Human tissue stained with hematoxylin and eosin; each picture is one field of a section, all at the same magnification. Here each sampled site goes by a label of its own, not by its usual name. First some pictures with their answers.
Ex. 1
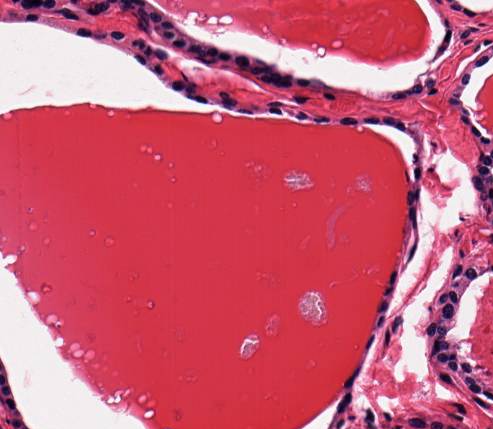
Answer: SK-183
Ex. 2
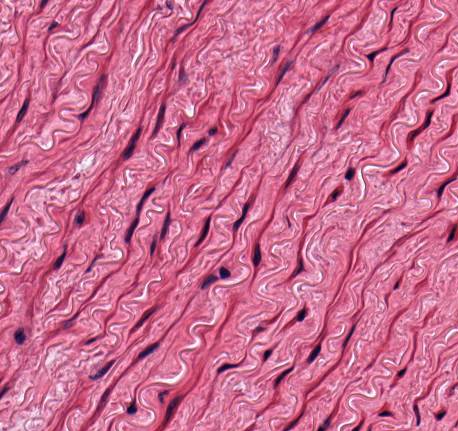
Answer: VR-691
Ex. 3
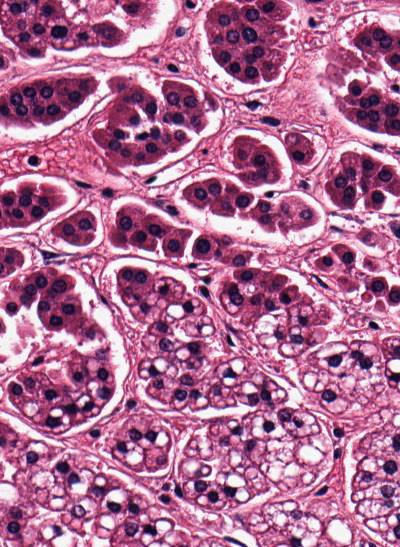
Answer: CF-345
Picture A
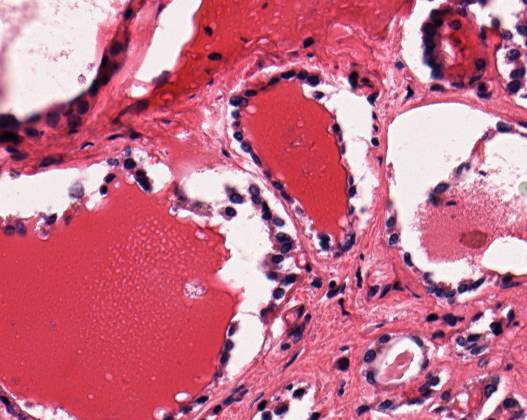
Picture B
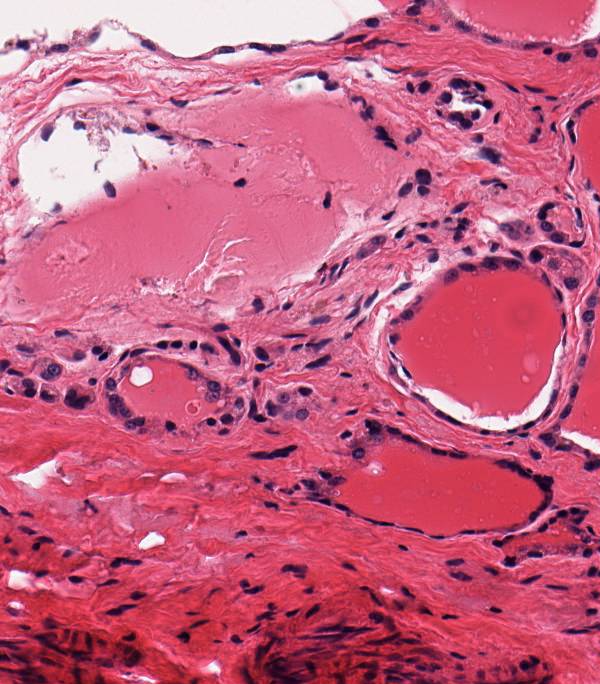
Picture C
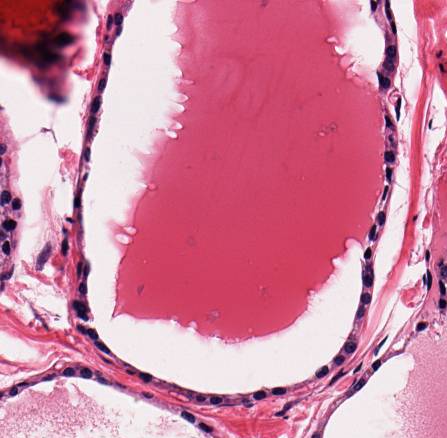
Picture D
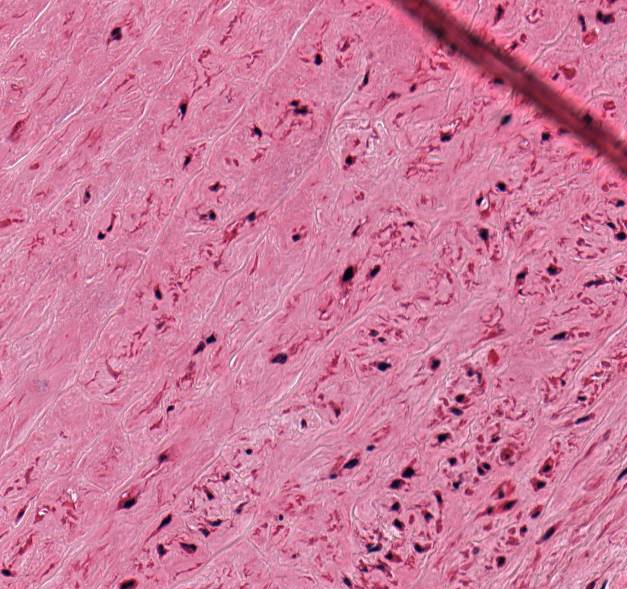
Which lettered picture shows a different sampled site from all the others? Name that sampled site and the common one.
D: VR-691; all the others: SK-183.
